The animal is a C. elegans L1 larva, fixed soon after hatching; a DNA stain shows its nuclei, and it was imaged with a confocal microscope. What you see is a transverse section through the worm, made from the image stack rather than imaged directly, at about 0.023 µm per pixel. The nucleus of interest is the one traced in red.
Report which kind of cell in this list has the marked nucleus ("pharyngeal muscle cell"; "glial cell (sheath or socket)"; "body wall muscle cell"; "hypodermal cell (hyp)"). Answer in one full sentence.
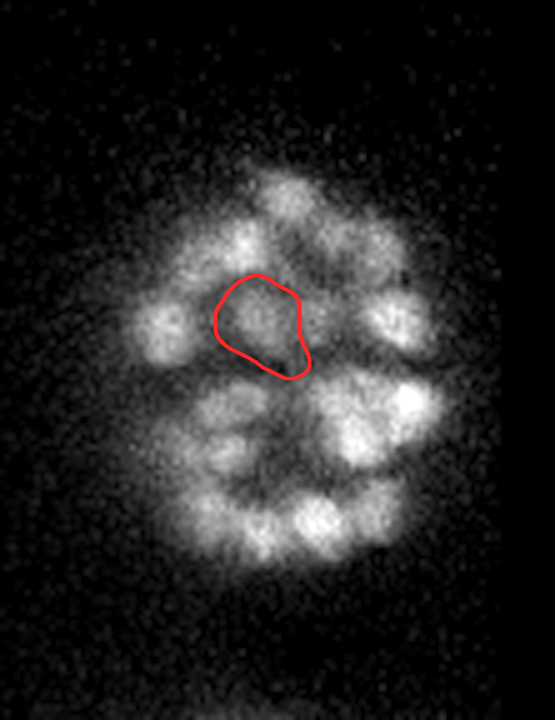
The marked cell is a pharyngeal muscle cell.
